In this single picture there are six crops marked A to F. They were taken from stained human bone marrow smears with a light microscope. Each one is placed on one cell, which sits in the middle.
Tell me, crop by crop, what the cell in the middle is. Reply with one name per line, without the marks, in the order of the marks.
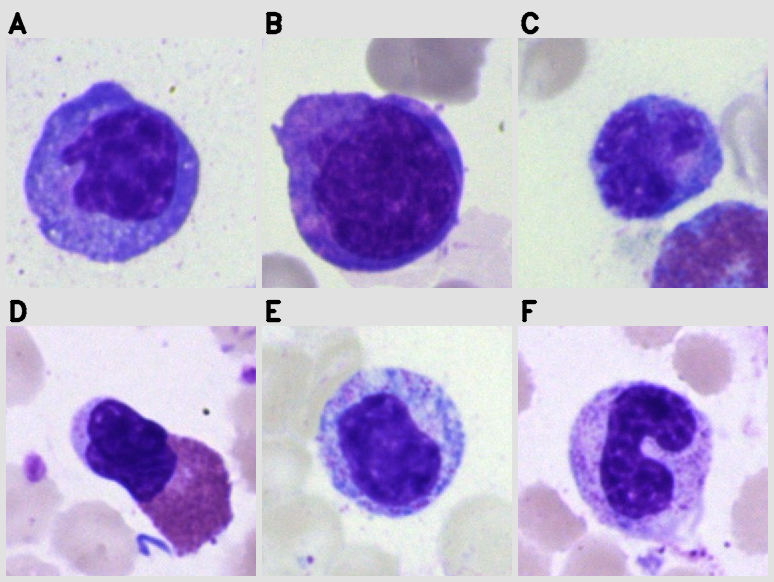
plasma cell
blast
monocyte
eosinophil
myelocyte
band neutrophil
